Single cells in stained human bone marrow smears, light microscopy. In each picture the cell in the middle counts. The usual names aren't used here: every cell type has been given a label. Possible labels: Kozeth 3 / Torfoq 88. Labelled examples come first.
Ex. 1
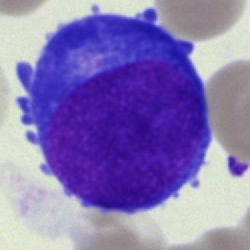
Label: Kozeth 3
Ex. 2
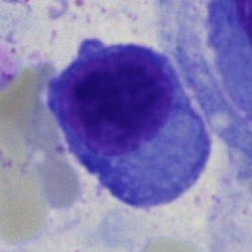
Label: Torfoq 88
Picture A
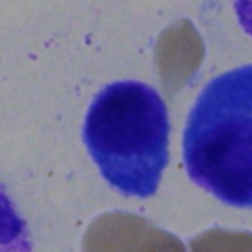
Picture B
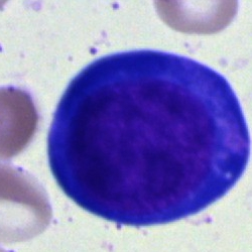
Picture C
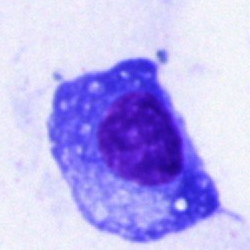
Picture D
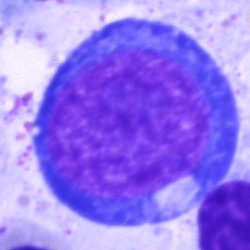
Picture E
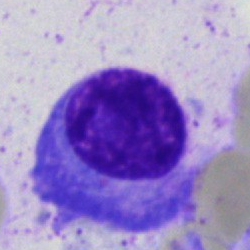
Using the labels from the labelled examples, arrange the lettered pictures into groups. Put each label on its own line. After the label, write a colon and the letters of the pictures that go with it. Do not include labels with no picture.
Kozeth 3: B, D
Torfoq 88: A, C, E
